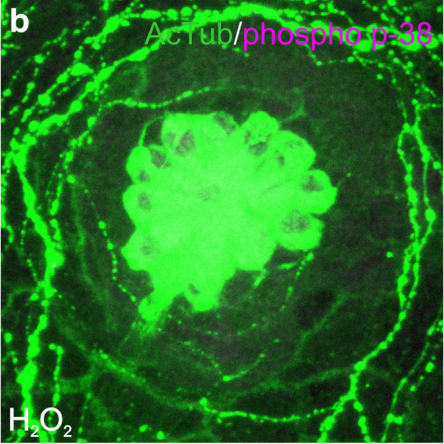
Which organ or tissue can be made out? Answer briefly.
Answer: neuromast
